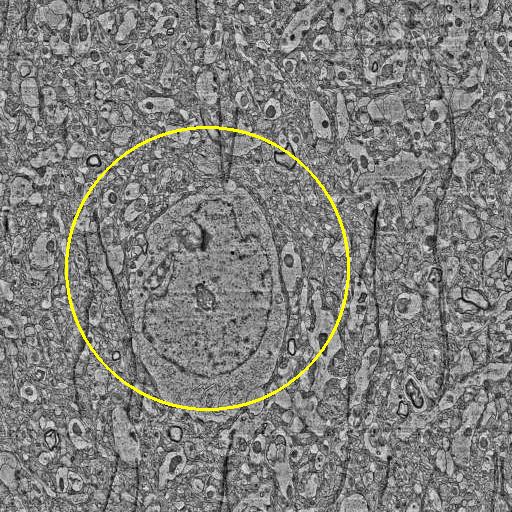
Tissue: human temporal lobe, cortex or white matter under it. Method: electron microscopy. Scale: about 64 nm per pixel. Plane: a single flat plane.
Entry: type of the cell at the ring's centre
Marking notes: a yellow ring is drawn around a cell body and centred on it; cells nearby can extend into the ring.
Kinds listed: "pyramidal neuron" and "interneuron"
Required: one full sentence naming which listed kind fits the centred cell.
My entry names an interneuron as the cell whose body the yellow ring centres on.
